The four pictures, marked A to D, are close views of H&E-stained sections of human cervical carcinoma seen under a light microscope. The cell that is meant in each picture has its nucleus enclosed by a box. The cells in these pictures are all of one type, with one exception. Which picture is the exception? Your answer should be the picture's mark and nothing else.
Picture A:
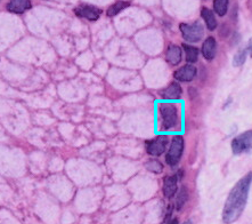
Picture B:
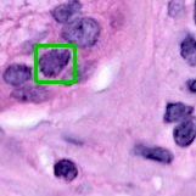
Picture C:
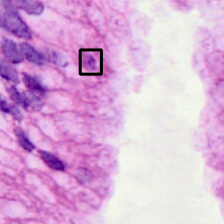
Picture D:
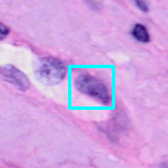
D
